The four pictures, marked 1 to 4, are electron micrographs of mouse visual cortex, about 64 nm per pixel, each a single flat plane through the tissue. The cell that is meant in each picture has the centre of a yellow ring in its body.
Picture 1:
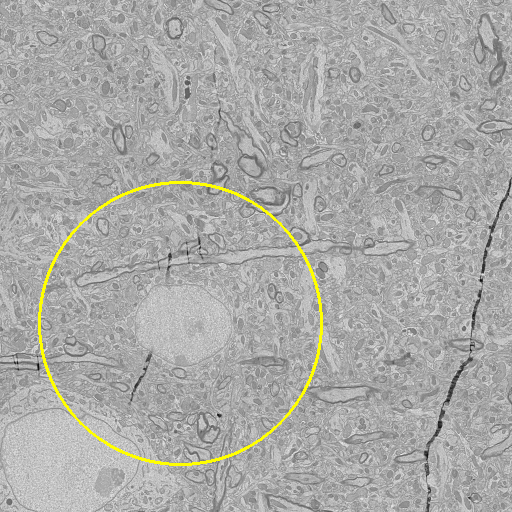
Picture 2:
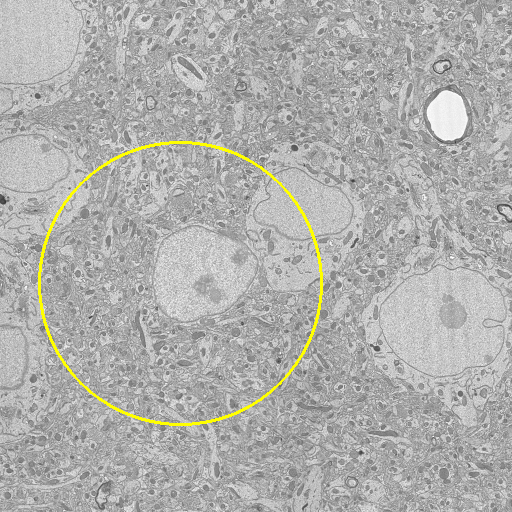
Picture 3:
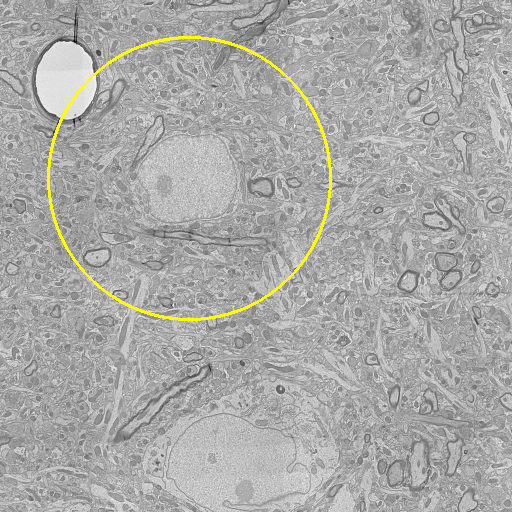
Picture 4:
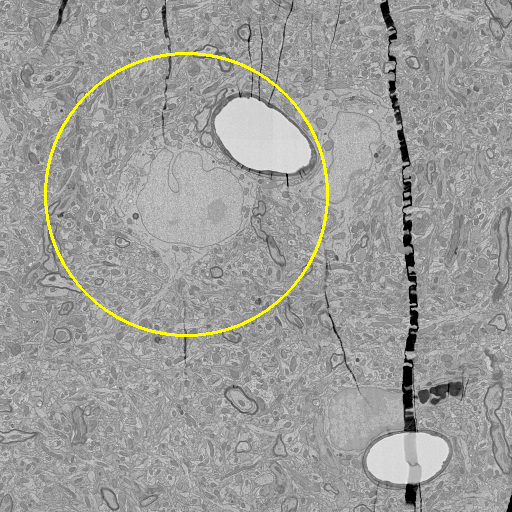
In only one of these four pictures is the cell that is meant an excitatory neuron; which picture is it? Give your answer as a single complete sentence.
It is picture 4 that shows the excitatory neuron.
